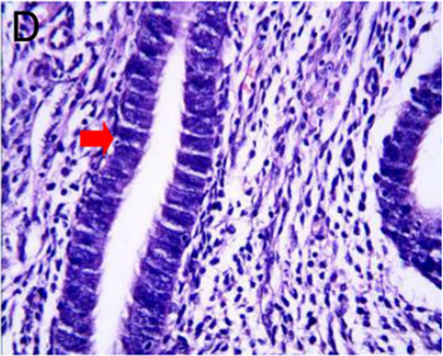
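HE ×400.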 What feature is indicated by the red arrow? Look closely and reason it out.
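The arrow points to a gland lined by tall columnar cells with elongated, crowded dark nuclei. The gland has a narrow slit-like lumen. It is surrounded by loose stroma with spindle and oval nuclei. On this evidence: endometrial glands.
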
